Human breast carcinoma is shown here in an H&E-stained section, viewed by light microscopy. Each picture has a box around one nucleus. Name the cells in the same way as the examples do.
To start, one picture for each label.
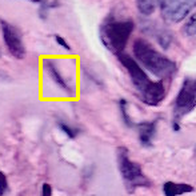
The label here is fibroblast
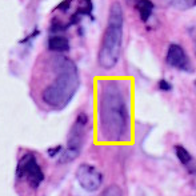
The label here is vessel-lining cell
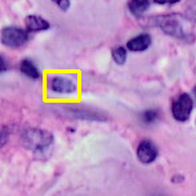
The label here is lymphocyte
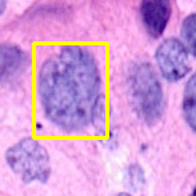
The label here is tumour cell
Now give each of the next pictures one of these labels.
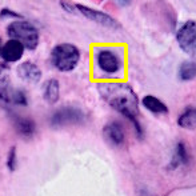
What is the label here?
lymphocyte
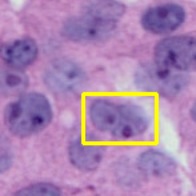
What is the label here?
tumour cell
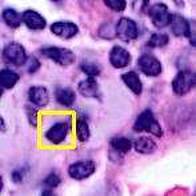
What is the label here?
lymphocyte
